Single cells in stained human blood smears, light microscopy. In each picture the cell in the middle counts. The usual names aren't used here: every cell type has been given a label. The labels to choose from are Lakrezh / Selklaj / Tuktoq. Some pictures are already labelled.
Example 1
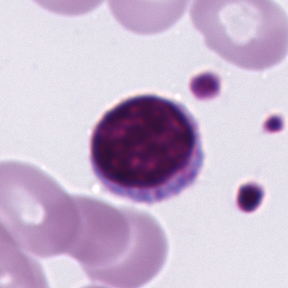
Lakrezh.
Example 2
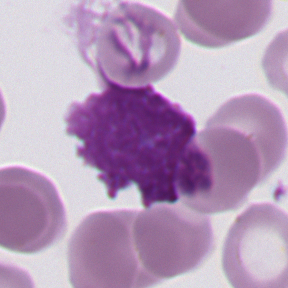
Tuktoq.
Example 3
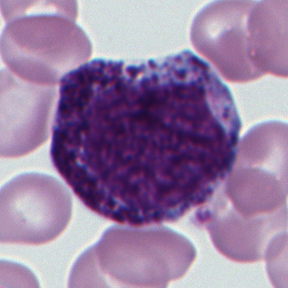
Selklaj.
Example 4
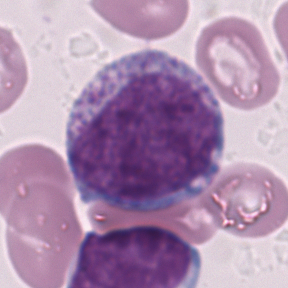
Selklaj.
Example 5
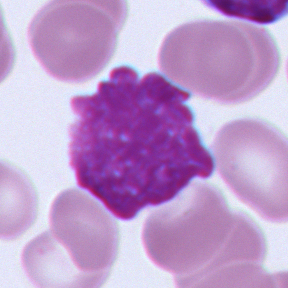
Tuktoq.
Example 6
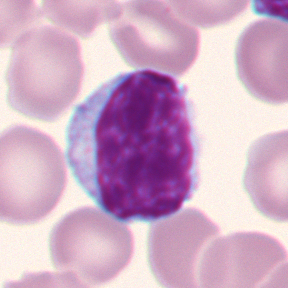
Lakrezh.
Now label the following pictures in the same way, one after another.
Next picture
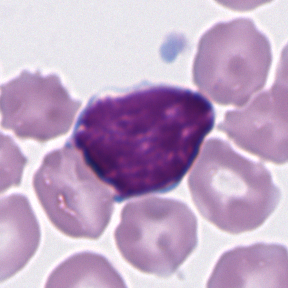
Lakrezh.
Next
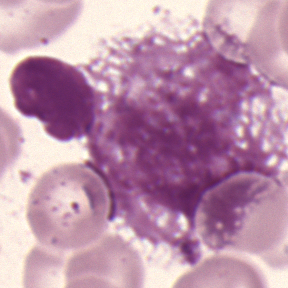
Tuktoq.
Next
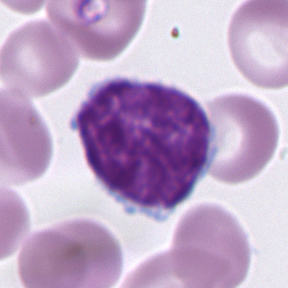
Lakrezh.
